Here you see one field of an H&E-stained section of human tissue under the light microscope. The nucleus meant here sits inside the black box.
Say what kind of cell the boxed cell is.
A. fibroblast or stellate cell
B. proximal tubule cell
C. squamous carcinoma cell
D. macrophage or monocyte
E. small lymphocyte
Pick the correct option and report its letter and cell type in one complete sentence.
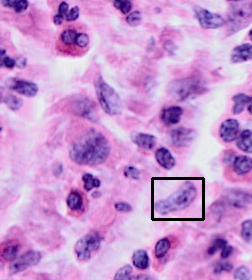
Here the boxed cell is a macrophage or monocyte, which makes option D correct.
